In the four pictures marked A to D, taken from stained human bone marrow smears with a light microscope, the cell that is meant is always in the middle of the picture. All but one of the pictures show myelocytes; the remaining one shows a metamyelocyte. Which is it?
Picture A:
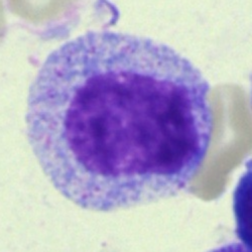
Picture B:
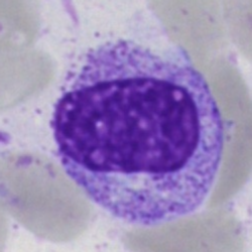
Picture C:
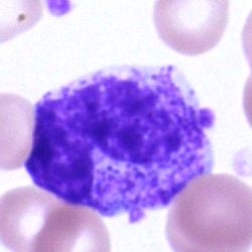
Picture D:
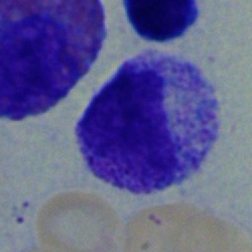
C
